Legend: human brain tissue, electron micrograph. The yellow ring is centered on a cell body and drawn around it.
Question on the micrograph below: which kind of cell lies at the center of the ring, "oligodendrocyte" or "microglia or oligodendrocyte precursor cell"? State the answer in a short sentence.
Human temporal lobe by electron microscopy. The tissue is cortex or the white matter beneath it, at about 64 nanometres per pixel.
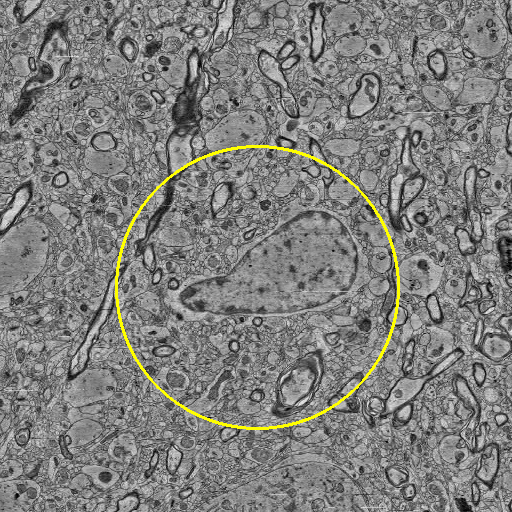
At the center of the ring lies a microglial cell or oligodendrocyte precursor cell.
